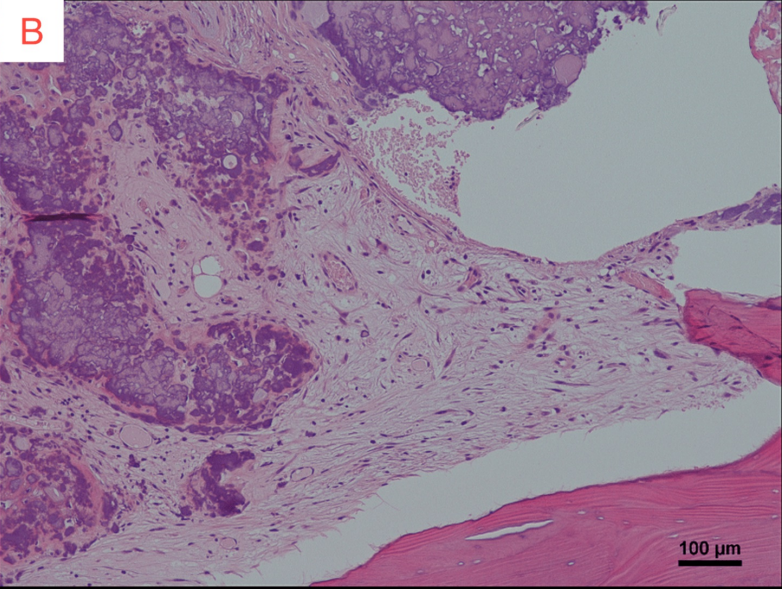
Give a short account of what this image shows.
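Intertrabecular space of trabecular bone showing mucinous and fibrous change. Large lobulated purple-blue deposits with a bubbly, vacuolated texture lie within this fibrous tissue at the left and top. Pink lamellar bone edges border the space at the right and bottom, and there is little fat or marrow between them.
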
